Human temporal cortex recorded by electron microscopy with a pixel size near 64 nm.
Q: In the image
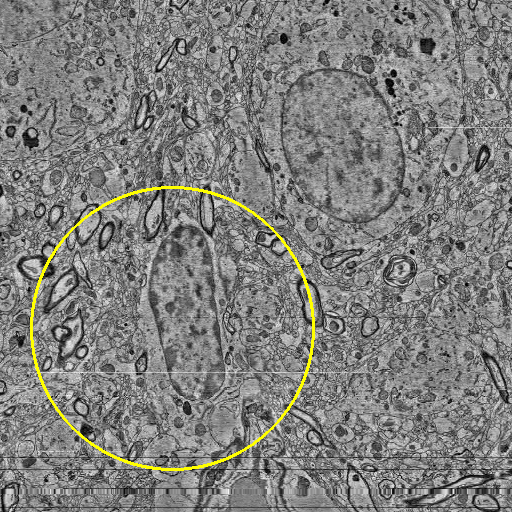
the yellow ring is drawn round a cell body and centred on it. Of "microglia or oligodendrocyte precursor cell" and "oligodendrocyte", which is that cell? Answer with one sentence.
The cell centred in the ring is a microglial cell or oligodendrocyte precursor cell.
